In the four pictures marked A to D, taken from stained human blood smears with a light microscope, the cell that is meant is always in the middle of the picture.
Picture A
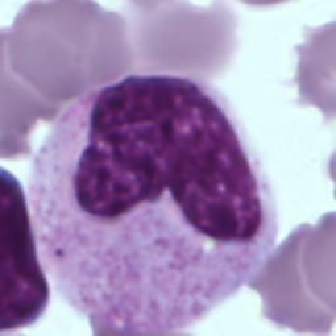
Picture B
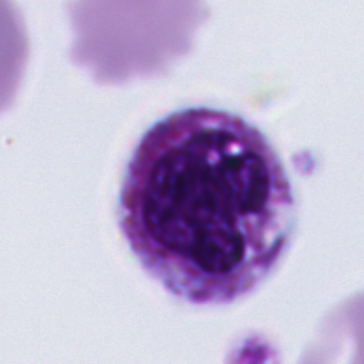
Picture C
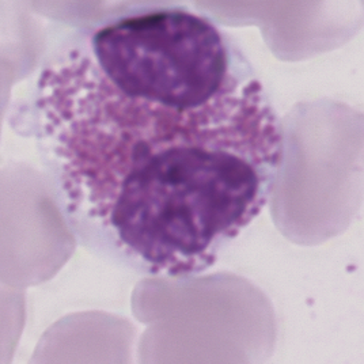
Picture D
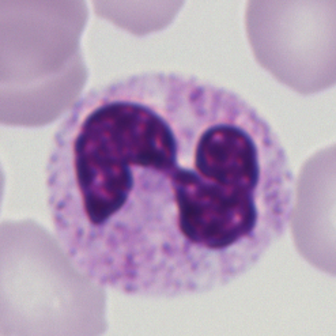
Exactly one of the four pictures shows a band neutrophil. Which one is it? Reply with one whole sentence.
The band neutrophil is the one in picture A.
